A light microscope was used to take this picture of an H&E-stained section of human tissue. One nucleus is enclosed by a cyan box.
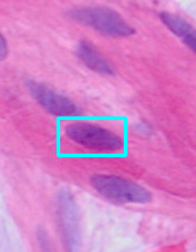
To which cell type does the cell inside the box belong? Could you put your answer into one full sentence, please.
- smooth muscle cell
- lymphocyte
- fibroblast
The classification of the cell inside the box is as a smooth muscle cell.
